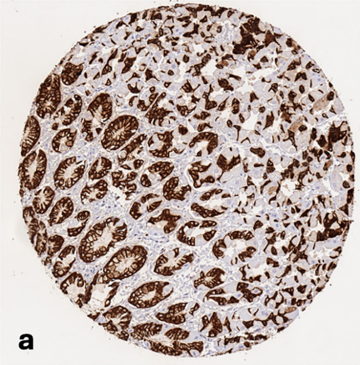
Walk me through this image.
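This is the mucosa of the stomach, seen as many glands cut across, with the epithelial cells stained brown. On one side the glands are neat rings of columnar cells around small open lumina. Toward the other side the glands become more crowded and irregular, and here brown-stained cells are interspersed with pale, unstained cells, giving a patchy, mottled pattern. The thin stroma between the glands is pale blue with small nuclei and carries no brown. The contrast between strongly stained cells and the pale cells lying among them is the key feature to notice here.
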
